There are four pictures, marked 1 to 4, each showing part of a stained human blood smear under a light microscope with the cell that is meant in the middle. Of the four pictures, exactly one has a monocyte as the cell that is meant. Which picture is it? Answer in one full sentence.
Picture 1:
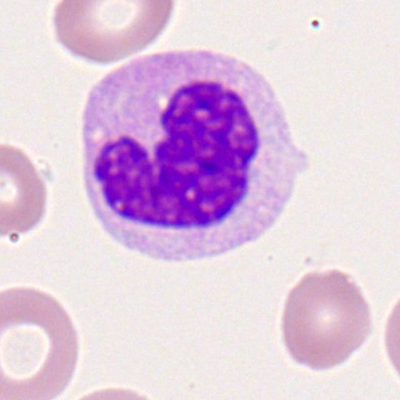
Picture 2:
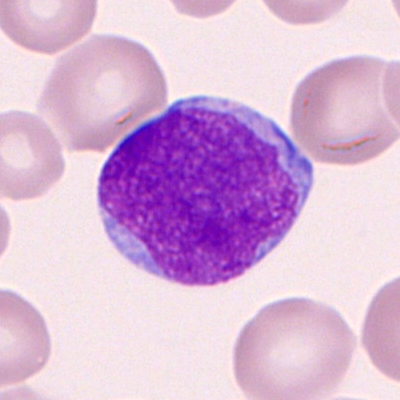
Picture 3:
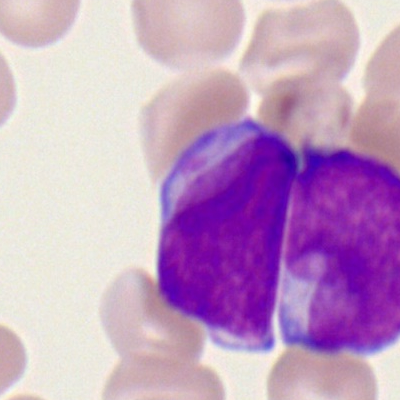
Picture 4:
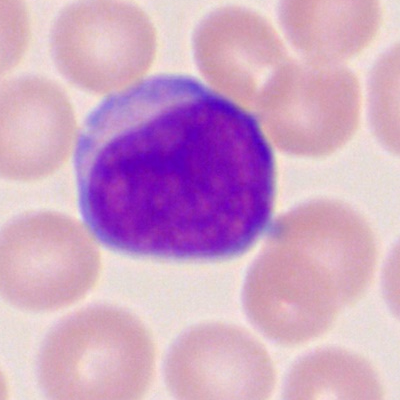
The picture with the monocyte is 1.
